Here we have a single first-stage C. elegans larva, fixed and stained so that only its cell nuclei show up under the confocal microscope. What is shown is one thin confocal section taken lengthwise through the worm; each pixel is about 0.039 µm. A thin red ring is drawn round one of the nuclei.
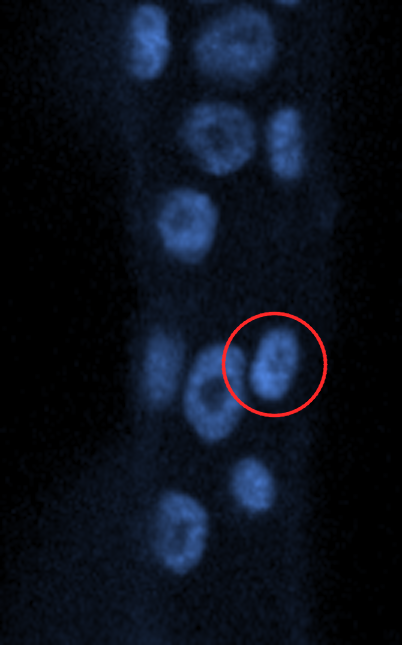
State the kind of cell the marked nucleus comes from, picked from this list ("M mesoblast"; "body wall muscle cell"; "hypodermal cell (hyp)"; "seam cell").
body wall muscle cell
